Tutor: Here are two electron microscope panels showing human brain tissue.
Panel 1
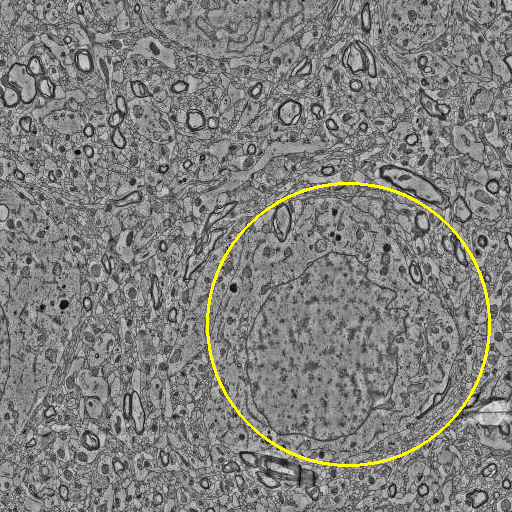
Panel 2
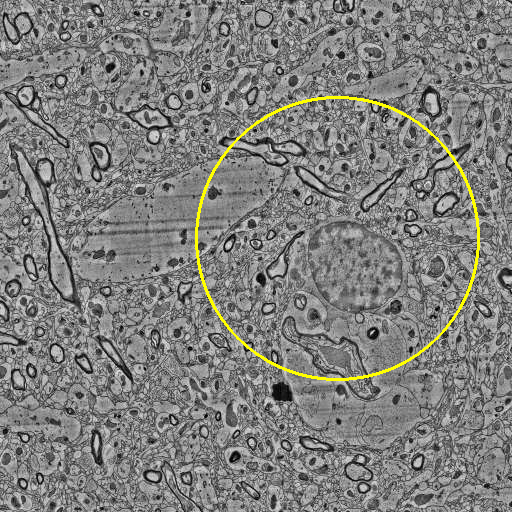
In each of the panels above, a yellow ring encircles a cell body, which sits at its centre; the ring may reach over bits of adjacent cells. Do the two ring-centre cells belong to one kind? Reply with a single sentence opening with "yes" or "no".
No, the two cells sitting at the ring centres in the panels belong to two kinds.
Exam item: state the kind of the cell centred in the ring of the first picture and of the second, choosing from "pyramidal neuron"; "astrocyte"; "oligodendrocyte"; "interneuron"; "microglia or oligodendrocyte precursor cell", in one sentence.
The first picture shows a pyramidal neuron at the ring centre and the second shows an oligodendrocyte.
